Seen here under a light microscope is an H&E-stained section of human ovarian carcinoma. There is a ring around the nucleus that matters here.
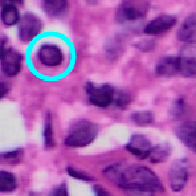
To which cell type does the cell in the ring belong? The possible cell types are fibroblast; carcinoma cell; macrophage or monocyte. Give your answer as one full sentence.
As far as its identity is concerned, the cell in the ring is a carcinoma cell.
